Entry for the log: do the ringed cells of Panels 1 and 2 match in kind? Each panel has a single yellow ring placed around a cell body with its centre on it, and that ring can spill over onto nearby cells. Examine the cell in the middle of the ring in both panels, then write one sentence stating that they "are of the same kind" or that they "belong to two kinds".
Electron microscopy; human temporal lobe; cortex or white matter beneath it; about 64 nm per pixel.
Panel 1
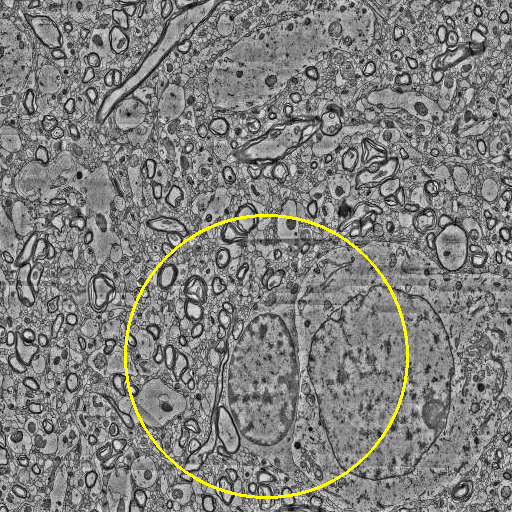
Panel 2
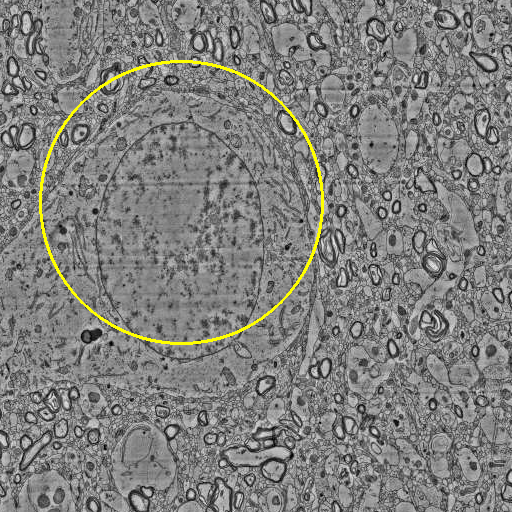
The centre cell of Panel 1's ring and that of Panel 2's ring belong to two kinds.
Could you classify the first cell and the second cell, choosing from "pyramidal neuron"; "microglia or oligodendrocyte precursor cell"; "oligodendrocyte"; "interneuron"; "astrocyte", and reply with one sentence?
The second cell is a pyramidal neuron, while the first is an oligodendrocyte.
